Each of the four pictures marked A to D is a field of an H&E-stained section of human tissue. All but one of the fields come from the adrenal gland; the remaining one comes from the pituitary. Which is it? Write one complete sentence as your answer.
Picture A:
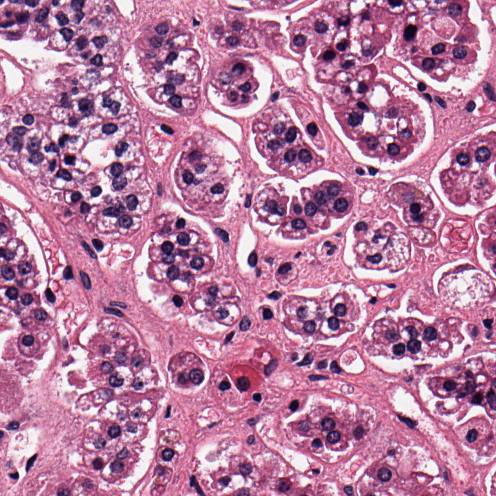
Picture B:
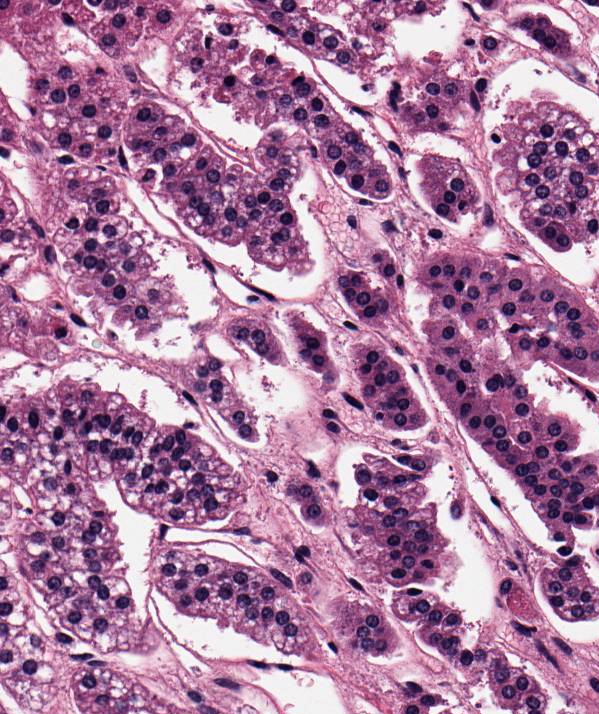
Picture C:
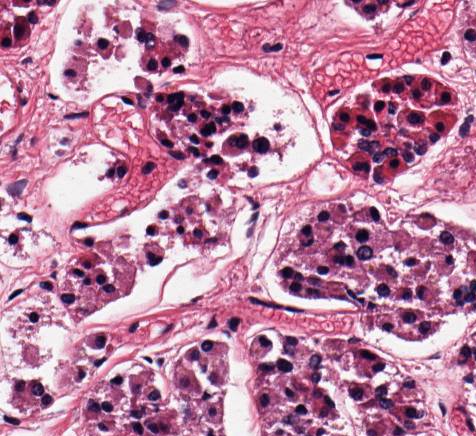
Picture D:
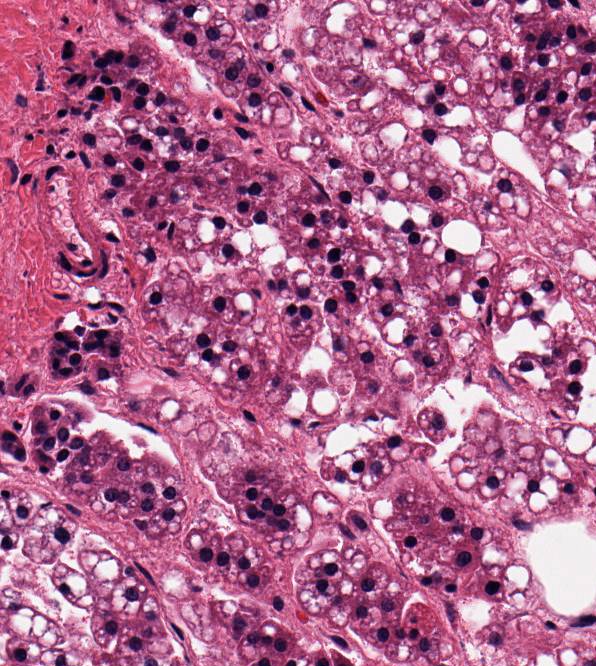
The one that comes from the pituitary is picture C.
